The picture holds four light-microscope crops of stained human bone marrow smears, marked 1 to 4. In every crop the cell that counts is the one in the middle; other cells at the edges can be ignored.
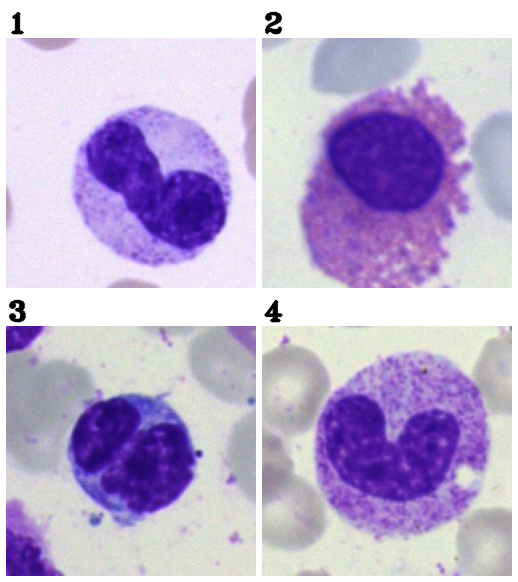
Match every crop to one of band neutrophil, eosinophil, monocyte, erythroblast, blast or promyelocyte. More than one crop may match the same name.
1: band neutrophil
2: eosinophil
3: monocyte
4: band neutrophil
